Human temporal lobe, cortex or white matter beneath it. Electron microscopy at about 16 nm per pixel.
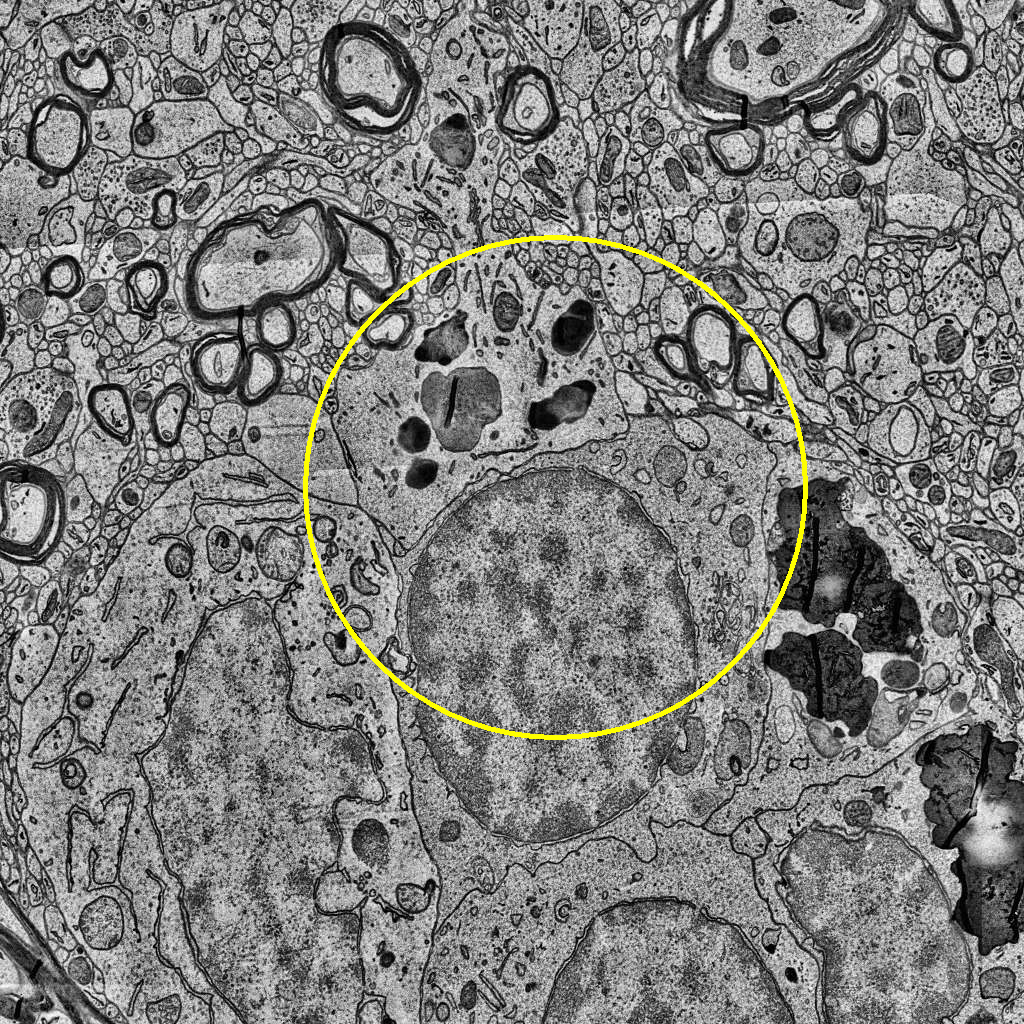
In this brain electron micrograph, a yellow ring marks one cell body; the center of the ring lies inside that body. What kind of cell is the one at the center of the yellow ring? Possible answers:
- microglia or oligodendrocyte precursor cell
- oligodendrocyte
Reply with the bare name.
microglia or oligodendrocyte precursor cell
